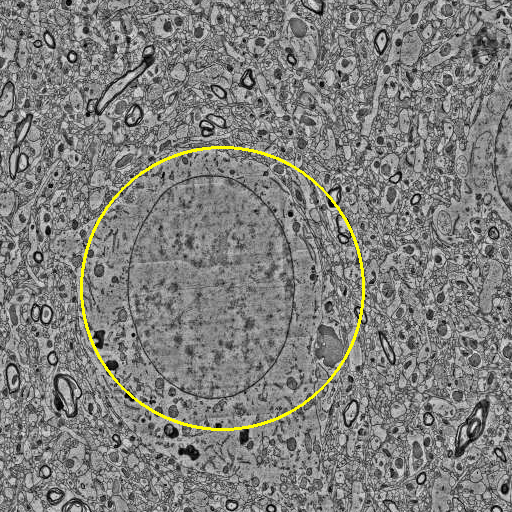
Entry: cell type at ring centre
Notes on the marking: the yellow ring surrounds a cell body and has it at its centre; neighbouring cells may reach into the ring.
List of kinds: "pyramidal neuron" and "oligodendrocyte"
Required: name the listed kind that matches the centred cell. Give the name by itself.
pyramidal neuron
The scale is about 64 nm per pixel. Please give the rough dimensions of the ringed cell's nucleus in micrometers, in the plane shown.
Approximately 14 by 11 micrometers in this plane.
